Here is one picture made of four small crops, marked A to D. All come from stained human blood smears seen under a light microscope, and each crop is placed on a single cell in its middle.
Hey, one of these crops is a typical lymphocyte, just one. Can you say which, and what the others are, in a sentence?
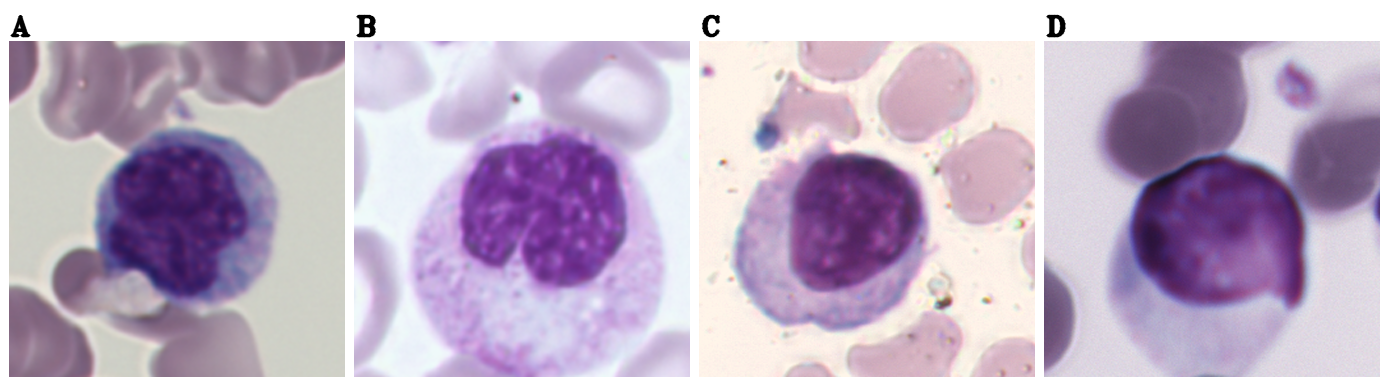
Depicted in crop D is a typical lymphocyte, while crop A is a monocyte, crop B is a band neutrophil and crop C is a plasma cell.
